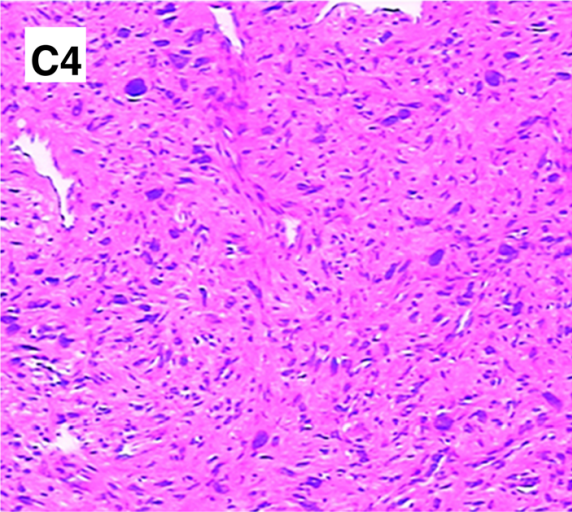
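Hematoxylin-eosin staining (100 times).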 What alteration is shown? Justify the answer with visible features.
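Scattered nuclei are much larger and darker than their neighbours. Nuclei vary in size and shape. That points to this answer: atypia.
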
